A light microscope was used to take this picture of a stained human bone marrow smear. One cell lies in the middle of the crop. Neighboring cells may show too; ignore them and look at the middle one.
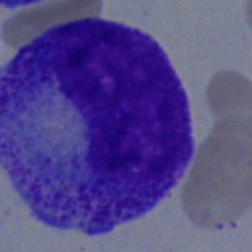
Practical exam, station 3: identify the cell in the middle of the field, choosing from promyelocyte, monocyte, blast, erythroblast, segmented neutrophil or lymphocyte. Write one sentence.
Within this crop, a promyelocyte occupies the central position.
